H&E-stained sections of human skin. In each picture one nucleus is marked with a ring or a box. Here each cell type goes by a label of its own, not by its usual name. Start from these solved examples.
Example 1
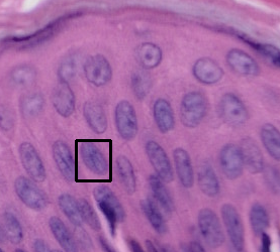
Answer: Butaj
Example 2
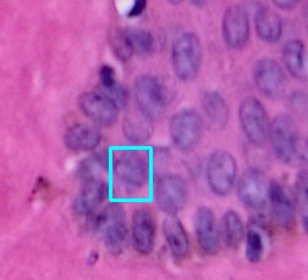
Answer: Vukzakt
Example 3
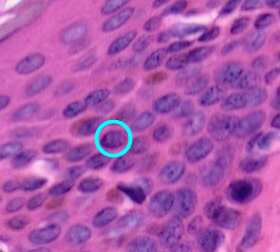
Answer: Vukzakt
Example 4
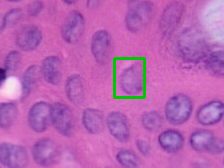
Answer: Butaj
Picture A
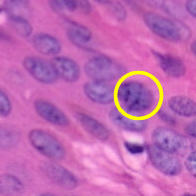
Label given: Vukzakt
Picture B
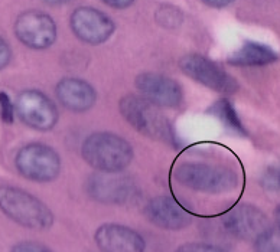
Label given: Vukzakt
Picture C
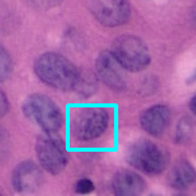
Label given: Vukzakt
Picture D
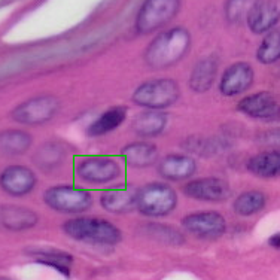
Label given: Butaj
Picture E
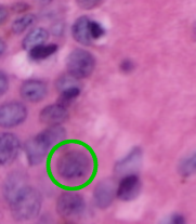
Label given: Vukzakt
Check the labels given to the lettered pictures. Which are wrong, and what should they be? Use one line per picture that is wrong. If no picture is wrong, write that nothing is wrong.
No label is wrong.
